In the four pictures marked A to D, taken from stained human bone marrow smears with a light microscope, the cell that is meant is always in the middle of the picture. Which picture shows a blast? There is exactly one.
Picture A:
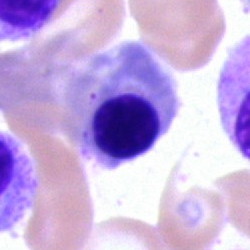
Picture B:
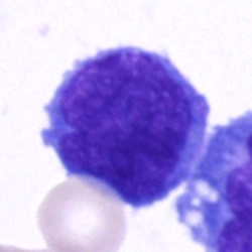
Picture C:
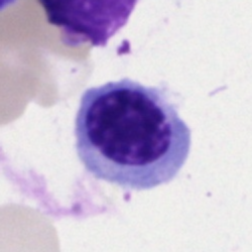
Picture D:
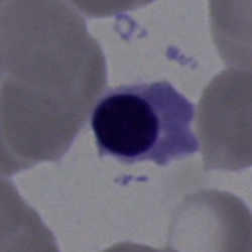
B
